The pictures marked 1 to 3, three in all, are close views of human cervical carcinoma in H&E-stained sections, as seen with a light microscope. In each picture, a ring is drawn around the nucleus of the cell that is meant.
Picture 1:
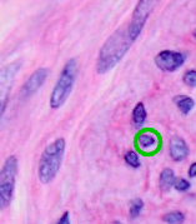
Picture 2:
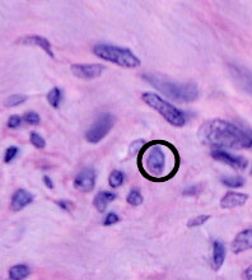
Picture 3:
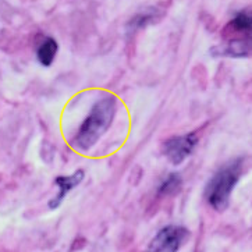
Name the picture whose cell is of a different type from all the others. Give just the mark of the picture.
3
